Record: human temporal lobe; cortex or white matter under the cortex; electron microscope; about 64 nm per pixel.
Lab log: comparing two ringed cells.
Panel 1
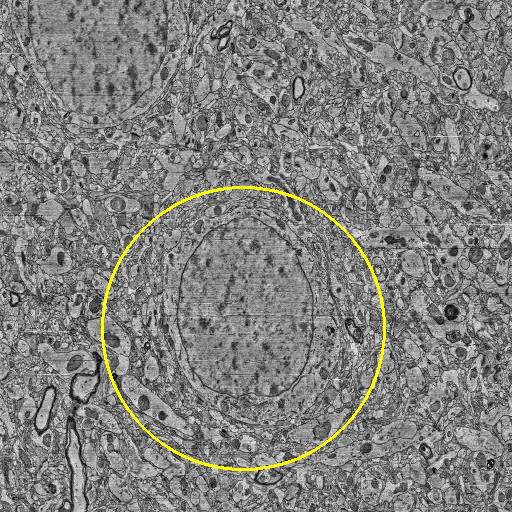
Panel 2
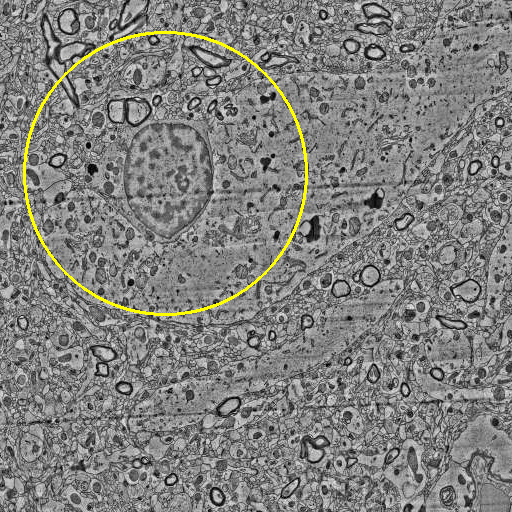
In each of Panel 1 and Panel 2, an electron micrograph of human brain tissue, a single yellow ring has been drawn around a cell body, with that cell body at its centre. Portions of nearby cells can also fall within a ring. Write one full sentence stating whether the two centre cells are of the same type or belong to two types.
The cells at the ring centres in Panel 1 and Panel 2 belong to two types.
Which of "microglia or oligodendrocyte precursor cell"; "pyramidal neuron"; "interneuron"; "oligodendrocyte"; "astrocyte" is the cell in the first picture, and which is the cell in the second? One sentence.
The two differ: the first cell is a pyramidal neuron and the second is an oligodendrocyte.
